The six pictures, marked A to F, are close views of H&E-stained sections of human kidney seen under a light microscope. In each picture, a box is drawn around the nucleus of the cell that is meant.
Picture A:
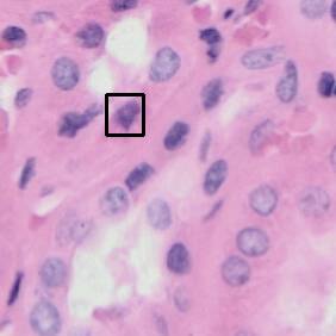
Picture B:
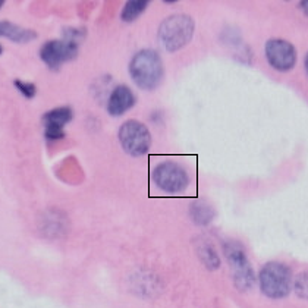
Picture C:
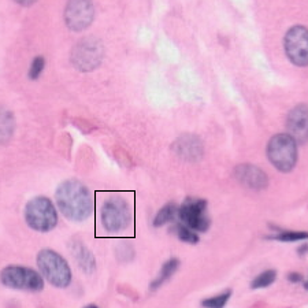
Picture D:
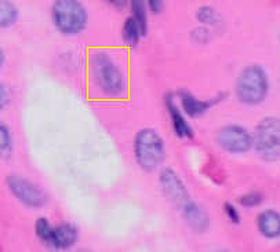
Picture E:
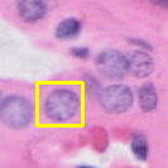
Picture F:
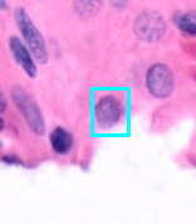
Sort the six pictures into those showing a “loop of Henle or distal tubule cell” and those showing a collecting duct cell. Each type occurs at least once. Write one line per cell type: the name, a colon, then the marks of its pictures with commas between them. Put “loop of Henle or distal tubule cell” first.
loop of Henle or distal tubule cell: A, F
collecting duct cell: B, C, D, E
